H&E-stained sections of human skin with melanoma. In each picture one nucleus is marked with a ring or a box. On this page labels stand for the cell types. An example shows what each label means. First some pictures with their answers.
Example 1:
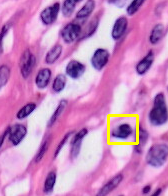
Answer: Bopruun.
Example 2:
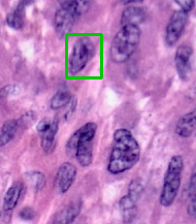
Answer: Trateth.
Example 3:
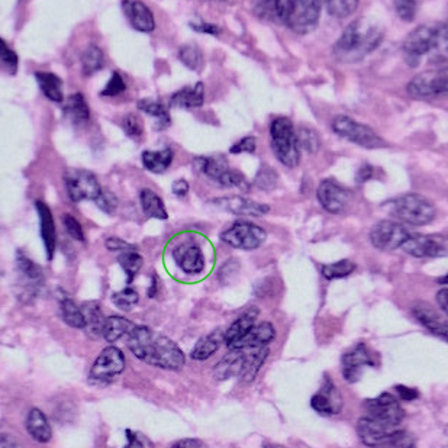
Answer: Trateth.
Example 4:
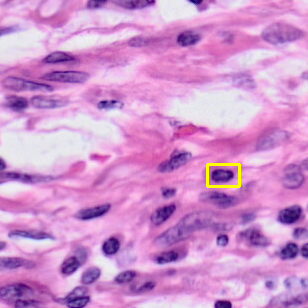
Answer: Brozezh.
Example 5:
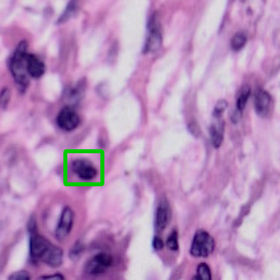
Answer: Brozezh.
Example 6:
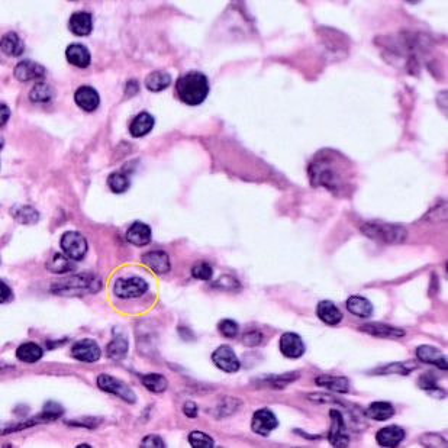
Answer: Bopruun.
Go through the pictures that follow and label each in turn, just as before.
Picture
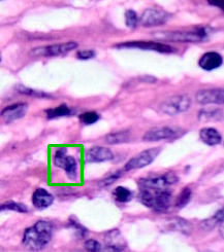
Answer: Bopruun.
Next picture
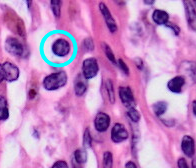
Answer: Bopruun.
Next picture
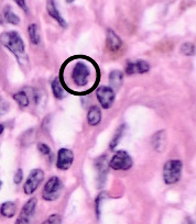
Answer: Bopruun.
